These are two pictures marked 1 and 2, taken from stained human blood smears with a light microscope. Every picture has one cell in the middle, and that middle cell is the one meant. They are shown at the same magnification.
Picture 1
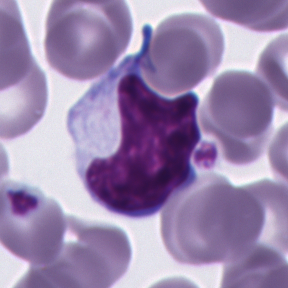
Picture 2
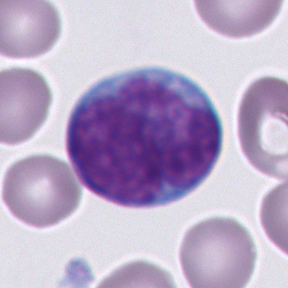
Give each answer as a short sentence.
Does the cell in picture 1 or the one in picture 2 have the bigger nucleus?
Larger is the nucleus in picture 2, at roughly 1.5 times the area of the other.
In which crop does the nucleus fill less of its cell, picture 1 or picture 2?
It is the cell in picture 1 that is filled less by its nucleus.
